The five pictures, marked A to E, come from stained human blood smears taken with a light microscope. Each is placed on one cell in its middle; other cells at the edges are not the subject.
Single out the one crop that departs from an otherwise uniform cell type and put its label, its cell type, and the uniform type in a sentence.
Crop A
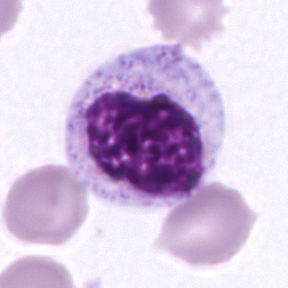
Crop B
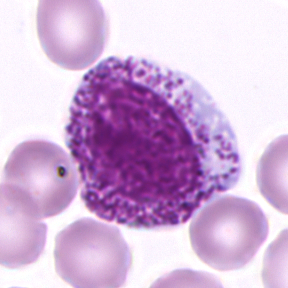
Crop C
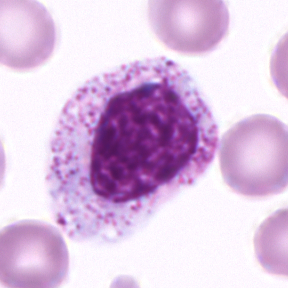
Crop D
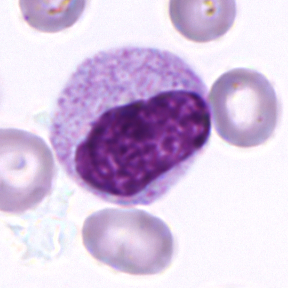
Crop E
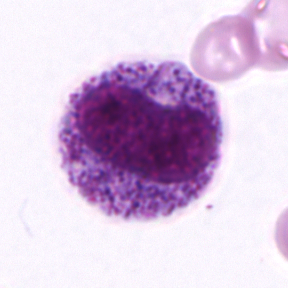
Seen in crop B is a myelocyte, and seen in all other crops are metamyelocytes.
